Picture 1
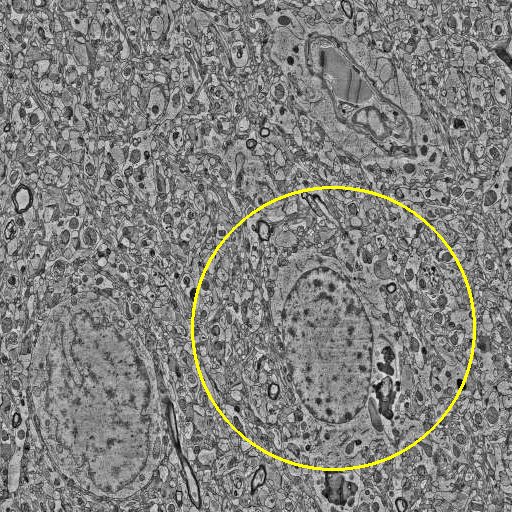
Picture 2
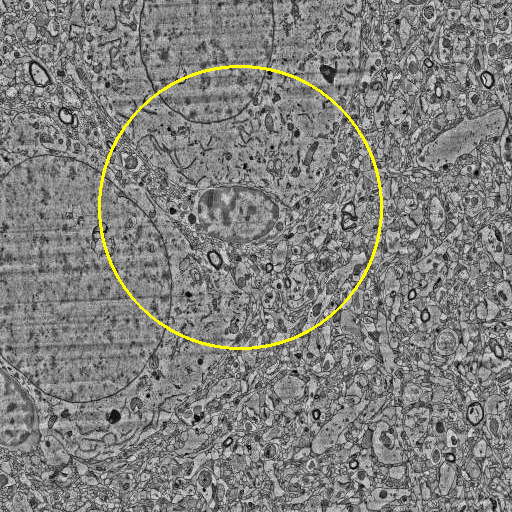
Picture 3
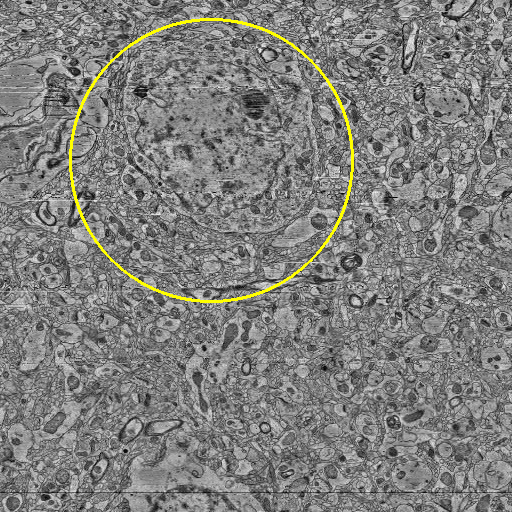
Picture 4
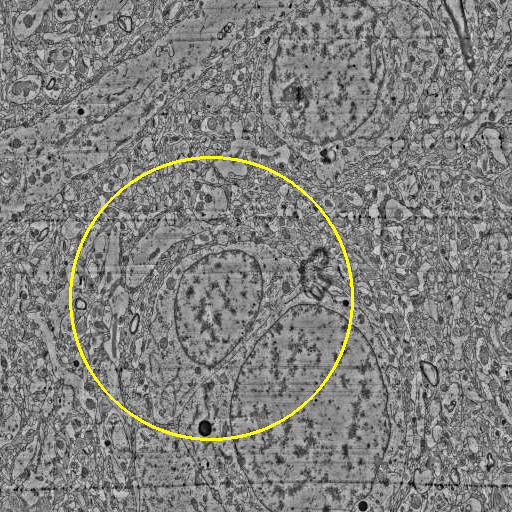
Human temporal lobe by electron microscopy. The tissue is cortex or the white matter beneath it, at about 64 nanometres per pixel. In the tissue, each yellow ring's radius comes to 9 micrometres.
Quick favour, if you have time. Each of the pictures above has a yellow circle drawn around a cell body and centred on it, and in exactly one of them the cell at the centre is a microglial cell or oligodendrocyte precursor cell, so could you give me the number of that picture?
2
